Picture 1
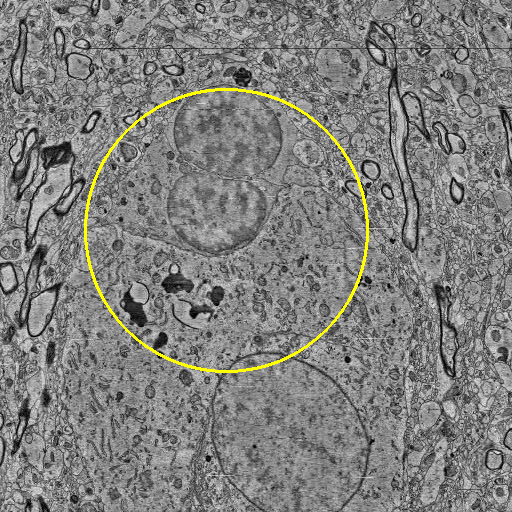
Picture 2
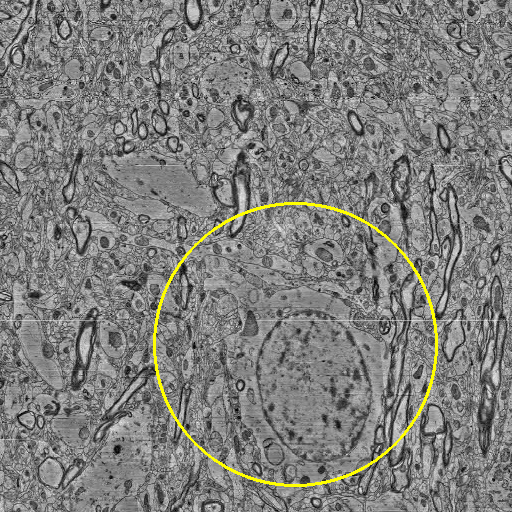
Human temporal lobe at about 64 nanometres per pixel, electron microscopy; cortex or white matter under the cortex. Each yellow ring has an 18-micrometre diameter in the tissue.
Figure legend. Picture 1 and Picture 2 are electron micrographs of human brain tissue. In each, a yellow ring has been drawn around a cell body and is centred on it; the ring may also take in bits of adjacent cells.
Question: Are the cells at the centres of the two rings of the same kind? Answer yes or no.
no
